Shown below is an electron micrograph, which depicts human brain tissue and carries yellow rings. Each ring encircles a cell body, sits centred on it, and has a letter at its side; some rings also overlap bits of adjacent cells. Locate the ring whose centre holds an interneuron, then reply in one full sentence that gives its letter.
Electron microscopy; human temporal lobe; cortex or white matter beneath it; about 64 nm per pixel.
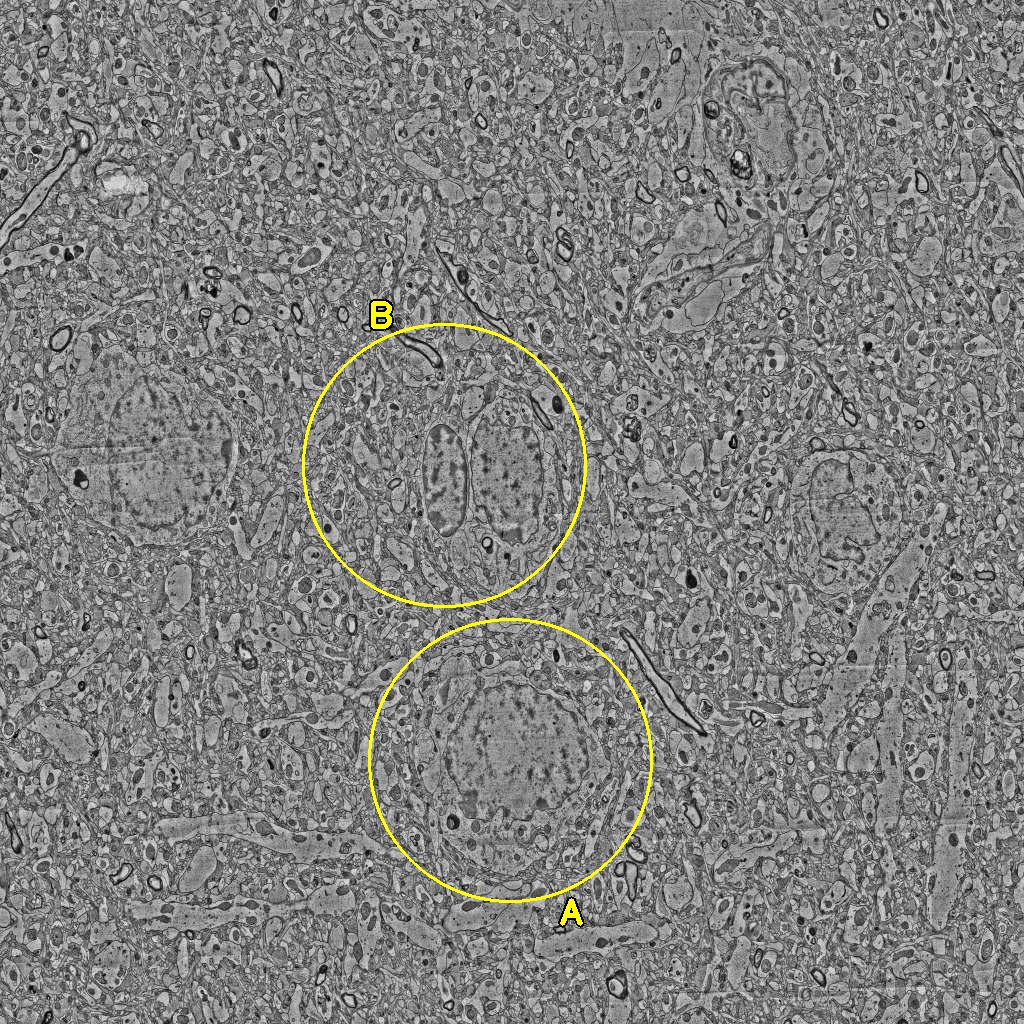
The ring centred on the cell asked for is the one marked A.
